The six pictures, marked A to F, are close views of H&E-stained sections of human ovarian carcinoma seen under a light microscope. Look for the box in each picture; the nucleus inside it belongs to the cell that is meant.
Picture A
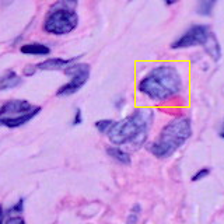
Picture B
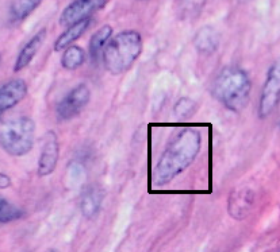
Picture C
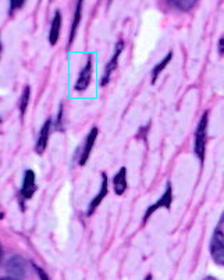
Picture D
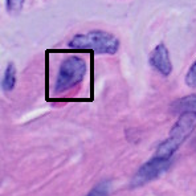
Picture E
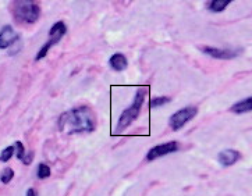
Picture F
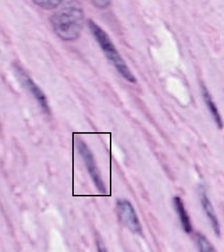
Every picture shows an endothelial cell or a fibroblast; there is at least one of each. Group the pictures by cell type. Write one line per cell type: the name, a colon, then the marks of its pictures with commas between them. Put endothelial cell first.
endothelial cell: A, D
fibroblast: B, C, E, F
